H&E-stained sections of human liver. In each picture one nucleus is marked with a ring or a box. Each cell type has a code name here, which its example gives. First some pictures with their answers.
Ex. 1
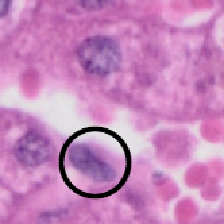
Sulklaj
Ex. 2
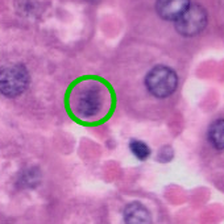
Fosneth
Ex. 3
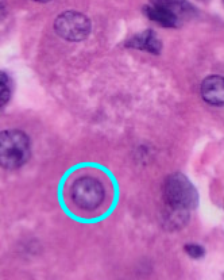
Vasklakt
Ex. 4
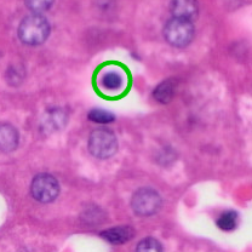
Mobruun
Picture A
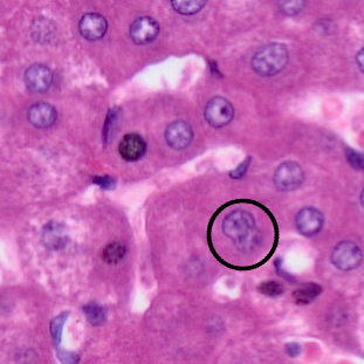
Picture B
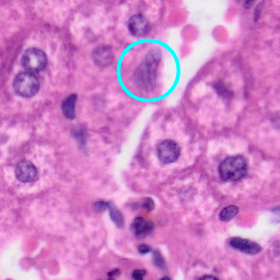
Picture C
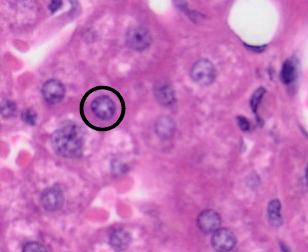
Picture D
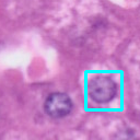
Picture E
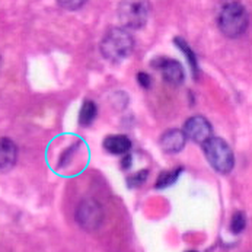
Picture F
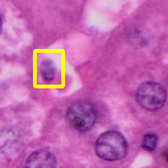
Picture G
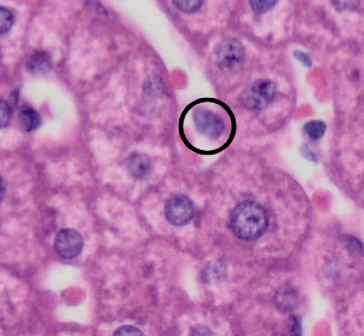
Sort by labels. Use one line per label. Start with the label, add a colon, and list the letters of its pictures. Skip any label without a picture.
Sulklaj: B, G
Fosneth: E
Vasklakt: A, C, D
Mobruun: F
